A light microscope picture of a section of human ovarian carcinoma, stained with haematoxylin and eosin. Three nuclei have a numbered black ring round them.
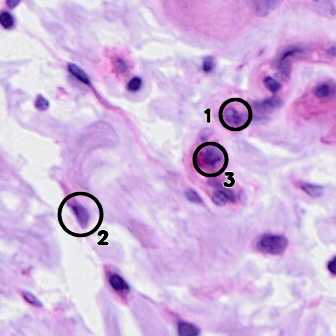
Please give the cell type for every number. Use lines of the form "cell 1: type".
cell 1: endothelial cell
cell 2: fibroblast
cell 3: endothelial cell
